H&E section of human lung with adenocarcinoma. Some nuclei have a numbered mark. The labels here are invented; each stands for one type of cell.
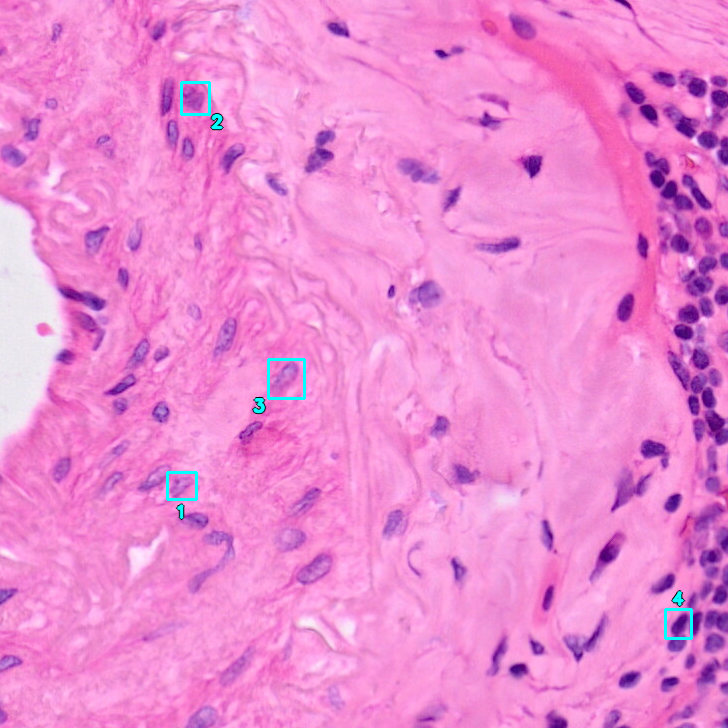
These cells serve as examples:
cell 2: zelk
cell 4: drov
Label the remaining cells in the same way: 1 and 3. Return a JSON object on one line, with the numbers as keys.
{"1": "zelk", "3": "zelk"}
